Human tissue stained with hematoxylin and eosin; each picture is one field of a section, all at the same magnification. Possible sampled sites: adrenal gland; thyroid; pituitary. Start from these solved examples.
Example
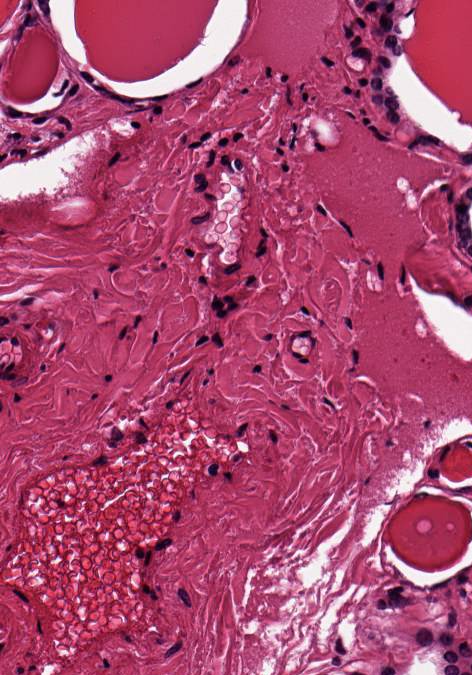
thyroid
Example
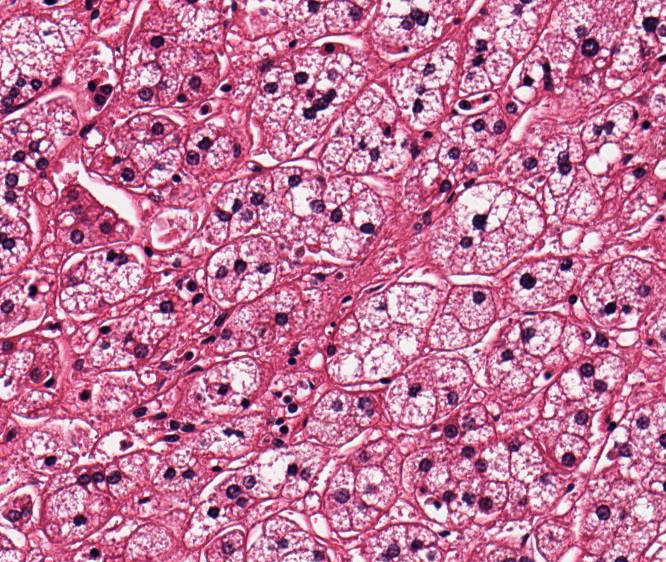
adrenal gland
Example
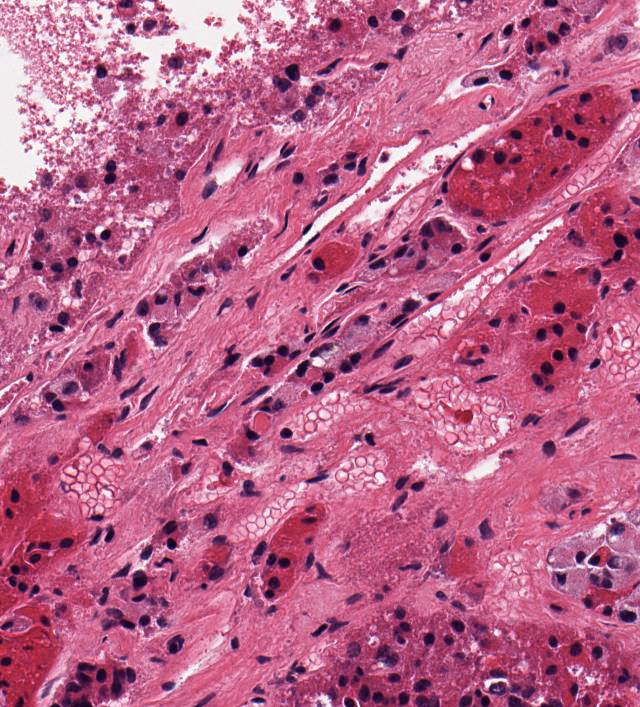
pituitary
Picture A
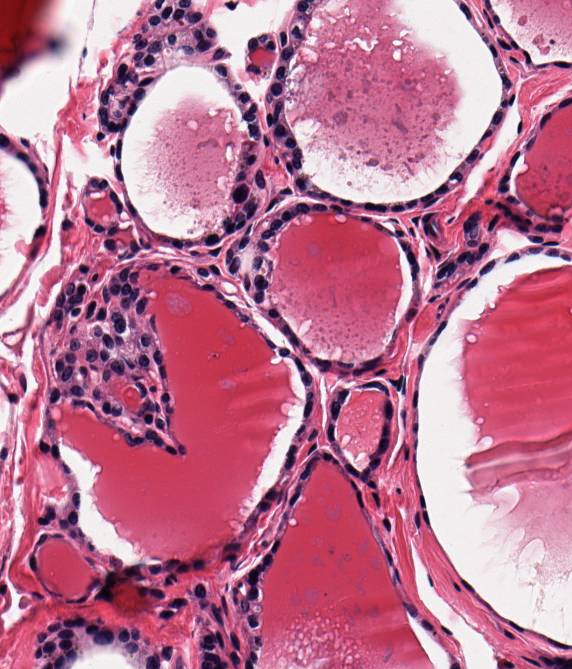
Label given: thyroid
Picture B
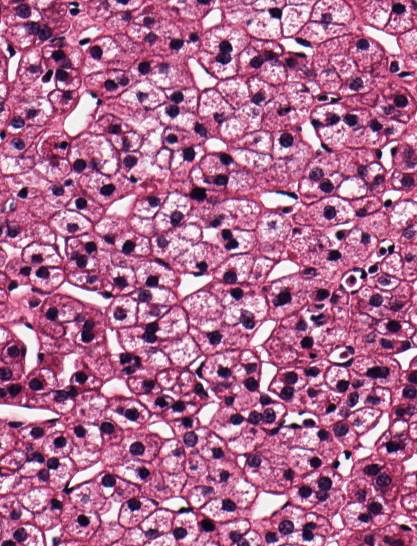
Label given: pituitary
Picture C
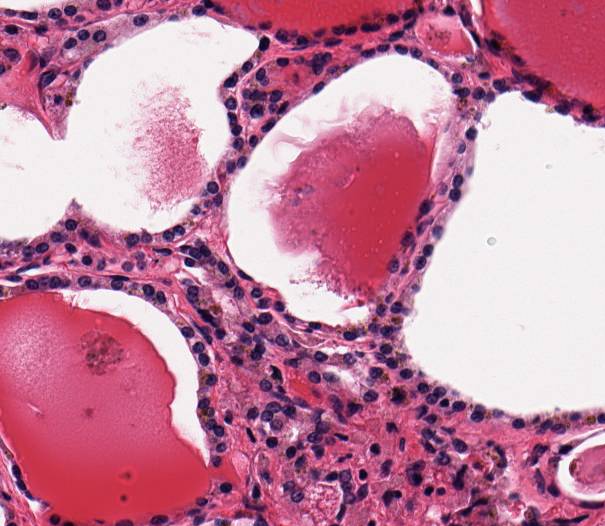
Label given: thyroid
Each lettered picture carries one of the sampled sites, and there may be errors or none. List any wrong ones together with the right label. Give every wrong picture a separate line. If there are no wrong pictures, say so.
Wrong: B (pituitary); correct: adrenal gland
